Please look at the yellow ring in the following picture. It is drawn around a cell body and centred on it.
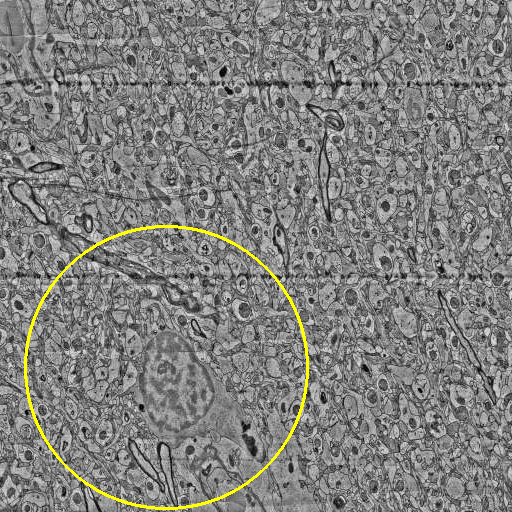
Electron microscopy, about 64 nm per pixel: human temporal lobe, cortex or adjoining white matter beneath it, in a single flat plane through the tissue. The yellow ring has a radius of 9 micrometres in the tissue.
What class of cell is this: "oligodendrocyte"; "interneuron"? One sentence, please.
The ring surrounds the cell body of an oligodendrocyte.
